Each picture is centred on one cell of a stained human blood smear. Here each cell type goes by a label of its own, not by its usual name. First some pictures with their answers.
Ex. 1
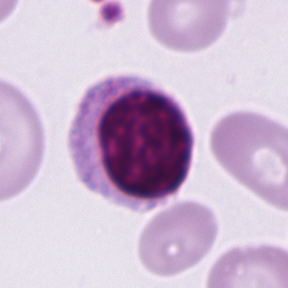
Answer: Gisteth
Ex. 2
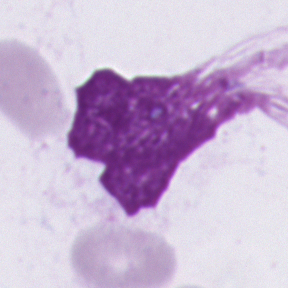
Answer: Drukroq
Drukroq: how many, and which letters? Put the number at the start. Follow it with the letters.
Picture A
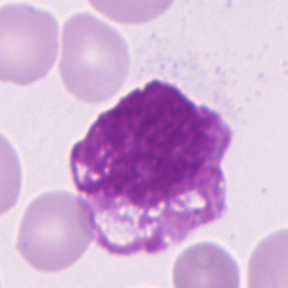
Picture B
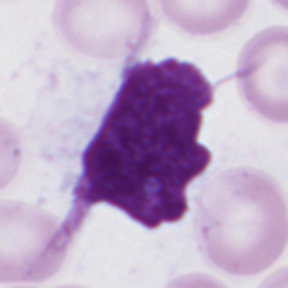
Count: 2 (A, B)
